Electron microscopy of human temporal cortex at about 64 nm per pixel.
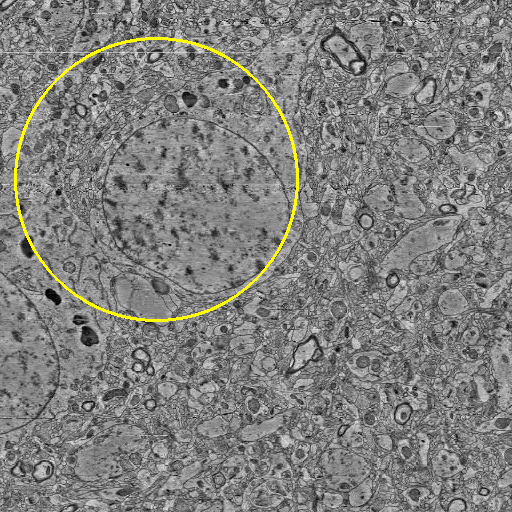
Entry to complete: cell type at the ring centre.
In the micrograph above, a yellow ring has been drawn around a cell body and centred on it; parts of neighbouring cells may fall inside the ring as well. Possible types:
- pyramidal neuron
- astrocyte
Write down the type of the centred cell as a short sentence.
The ring is centred on a pyramidal neuron.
